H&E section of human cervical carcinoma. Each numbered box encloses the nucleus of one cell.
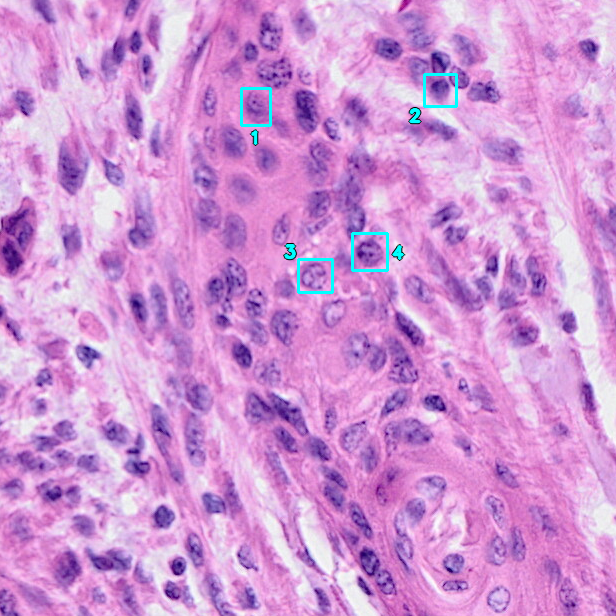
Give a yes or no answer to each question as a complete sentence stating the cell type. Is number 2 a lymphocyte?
Yes, it checks out; the cell labelled 2 is a lymphocyte.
